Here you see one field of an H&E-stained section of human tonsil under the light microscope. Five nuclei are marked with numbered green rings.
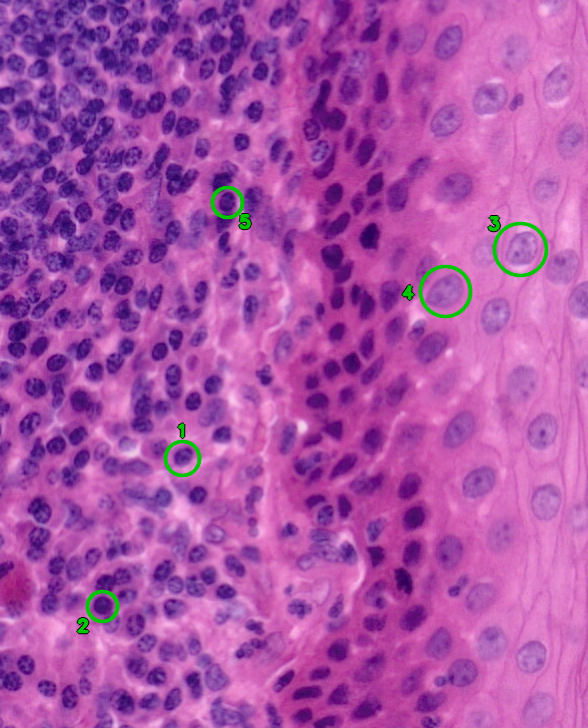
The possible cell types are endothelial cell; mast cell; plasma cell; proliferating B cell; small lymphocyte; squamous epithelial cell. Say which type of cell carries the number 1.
plasma cell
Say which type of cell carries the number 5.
plasma cell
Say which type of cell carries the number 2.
plasma cell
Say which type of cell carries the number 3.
squamous epithelial cell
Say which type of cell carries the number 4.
squamous epithelial cell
